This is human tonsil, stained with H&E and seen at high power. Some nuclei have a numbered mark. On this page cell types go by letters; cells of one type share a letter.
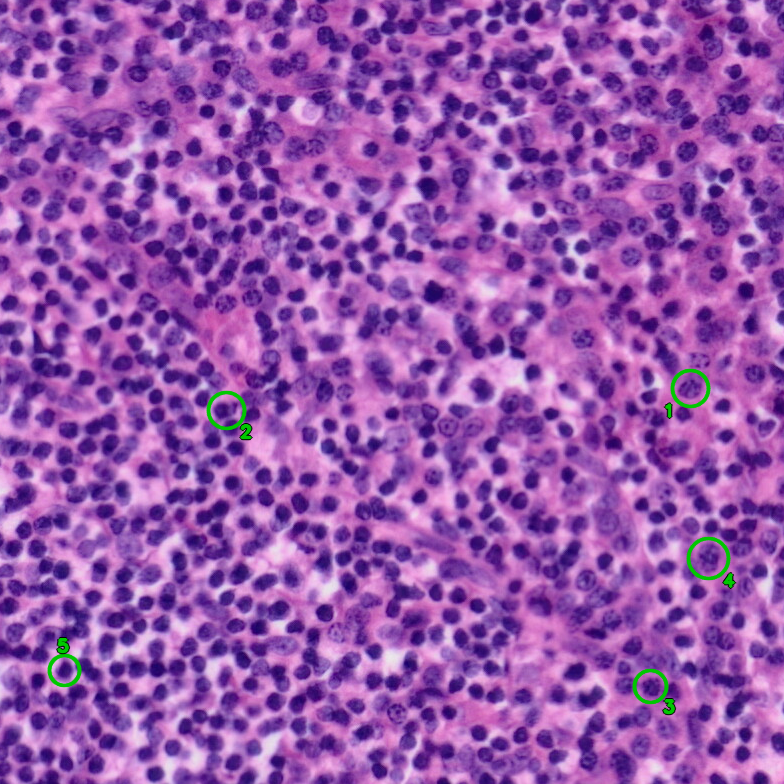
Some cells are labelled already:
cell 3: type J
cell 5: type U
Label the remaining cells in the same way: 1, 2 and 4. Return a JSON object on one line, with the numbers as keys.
{"1": "type J", "2": "type U", "4": "type J"}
